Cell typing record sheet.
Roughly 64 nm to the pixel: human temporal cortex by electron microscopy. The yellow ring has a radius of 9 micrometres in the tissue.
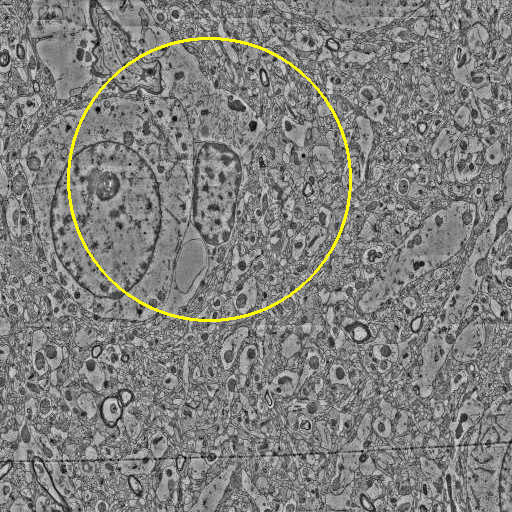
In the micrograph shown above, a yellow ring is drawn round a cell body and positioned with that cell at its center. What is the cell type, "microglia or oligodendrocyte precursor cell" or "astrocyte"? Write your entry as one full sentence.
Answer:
The cell body at the center of the ring belongs to a microglial cell or oligodendrocyte precursor cell.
